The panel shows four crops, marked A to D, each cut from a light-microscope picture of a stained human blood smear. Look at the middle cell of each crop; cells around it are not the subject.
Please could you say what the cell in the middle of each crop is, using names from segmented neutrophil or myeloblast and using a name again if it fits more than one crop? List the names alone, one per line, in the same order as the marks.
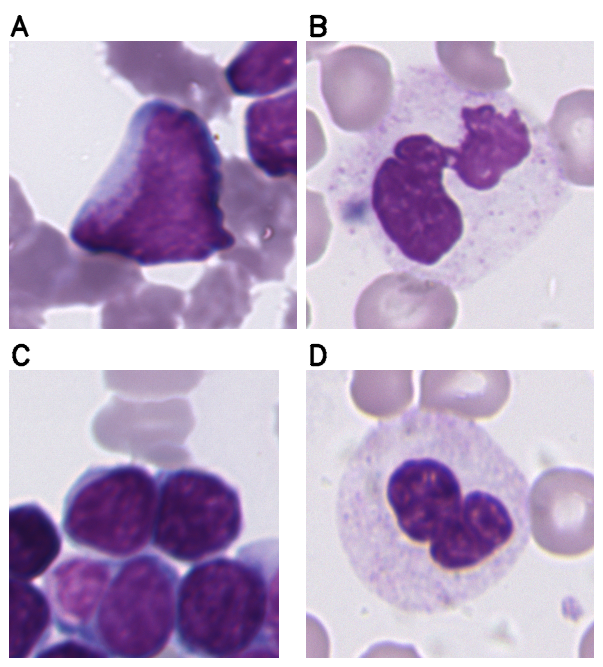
myeloblast
segmented neutrophil
myeloblast
segmented neutrophil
